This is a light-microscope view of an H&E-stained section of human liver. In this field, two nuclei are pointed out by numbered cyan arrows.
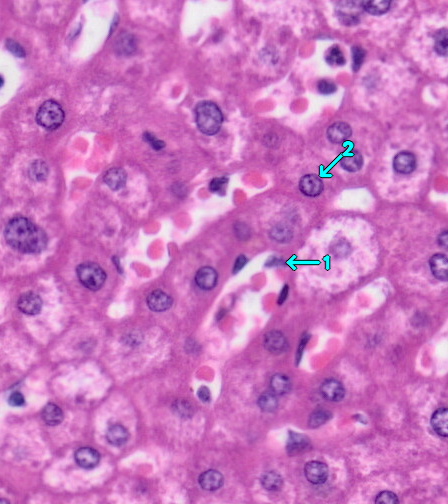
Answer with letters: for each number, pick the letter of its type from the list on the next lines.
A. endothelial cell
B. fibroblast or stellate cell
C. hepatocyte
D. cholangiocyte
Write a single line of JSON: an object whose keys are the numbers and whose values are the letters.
{"1": "A", "2": "C"}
